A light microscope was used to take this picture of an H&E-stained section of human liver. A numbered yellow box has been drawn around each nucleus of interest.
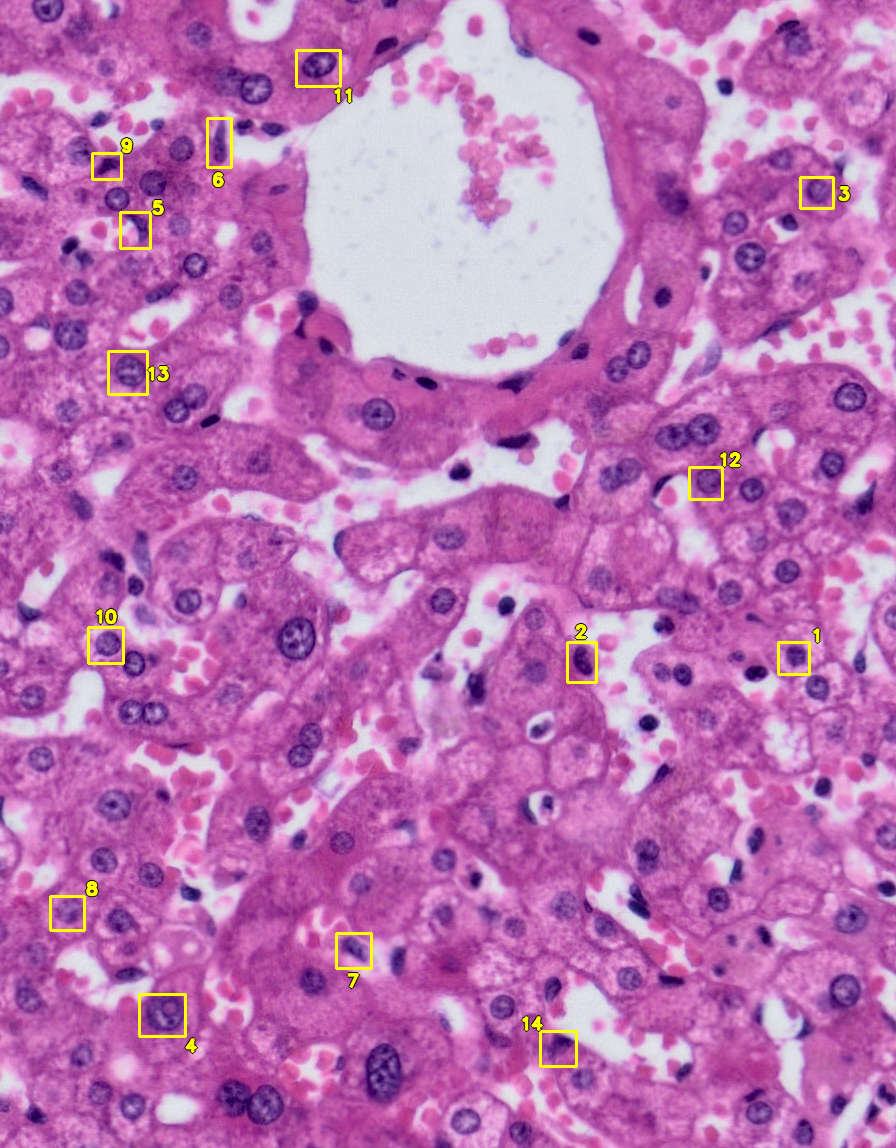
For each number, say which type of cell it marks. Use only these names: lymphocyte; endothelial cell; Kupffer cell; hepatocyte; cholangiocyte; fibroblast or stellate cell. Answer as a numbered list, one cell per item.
1. hepatocyte
2. Kupffer cell
3. hepatocyte
4. hepatocyte
5. endothelial cell
6. Kupffer cell
7. Kupffer cell
8. hepatocyte
9. fibroblast or stellate cell
10. hepatocyte
11. hepatocyte
12. hepatocyte
13. hepatocyte
14. fibroblast or stellate cell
